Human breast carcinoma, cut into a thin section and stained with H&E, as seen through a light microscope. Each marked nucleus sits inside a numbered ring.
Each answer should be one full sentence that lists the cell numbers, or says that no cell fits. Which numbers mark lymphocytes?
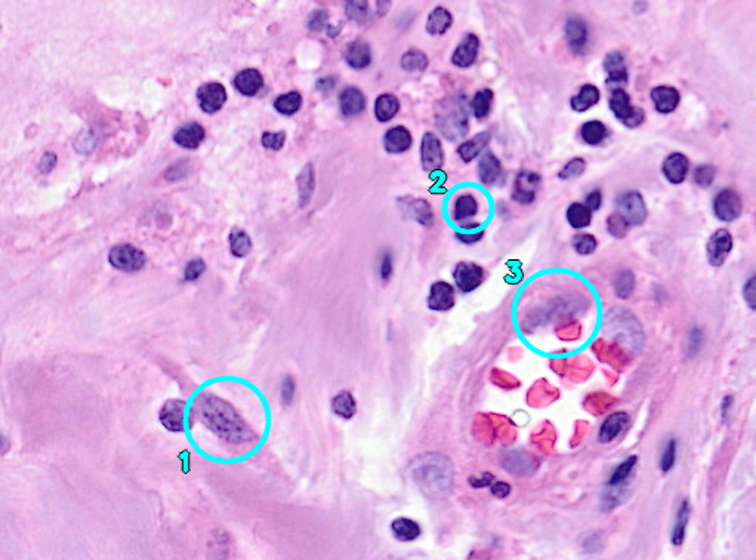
Of all the numbered cells, only one is a lymphocyte, and that is cell 2.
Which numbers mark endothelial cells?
In contrast to the remaining marked cells, cell 3 is an endothelial cell.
